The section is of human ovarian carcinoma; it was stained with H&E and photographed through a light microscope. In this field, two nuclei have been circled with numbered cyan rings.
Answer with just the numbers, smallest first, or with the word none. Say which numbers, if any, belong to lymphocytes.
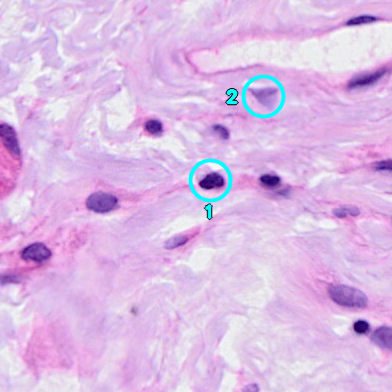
1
